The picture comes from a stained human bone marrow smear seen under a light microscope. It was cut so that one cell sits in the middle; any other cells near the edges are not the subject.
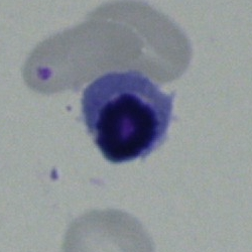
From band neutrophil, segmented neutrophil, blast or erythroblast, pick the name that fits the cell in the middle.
erythroblast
